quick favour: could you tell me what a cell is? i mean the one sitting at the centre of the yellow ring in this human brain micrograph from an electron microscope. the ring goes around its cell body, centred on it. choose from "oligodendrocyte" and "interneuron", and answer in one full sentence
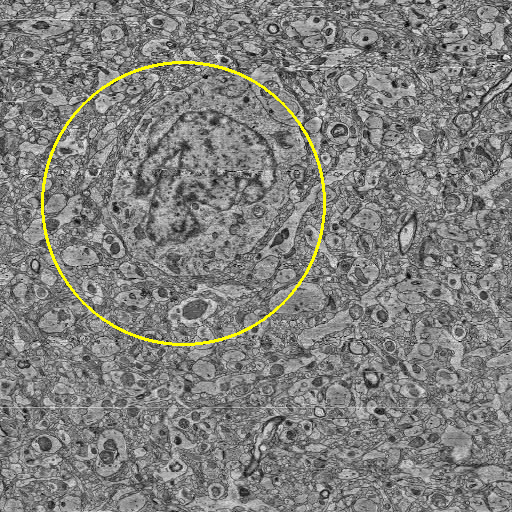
That's an interneuron, the cell sitting at the centre of the yellow ring.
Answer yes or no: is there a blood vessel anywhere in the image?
No.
